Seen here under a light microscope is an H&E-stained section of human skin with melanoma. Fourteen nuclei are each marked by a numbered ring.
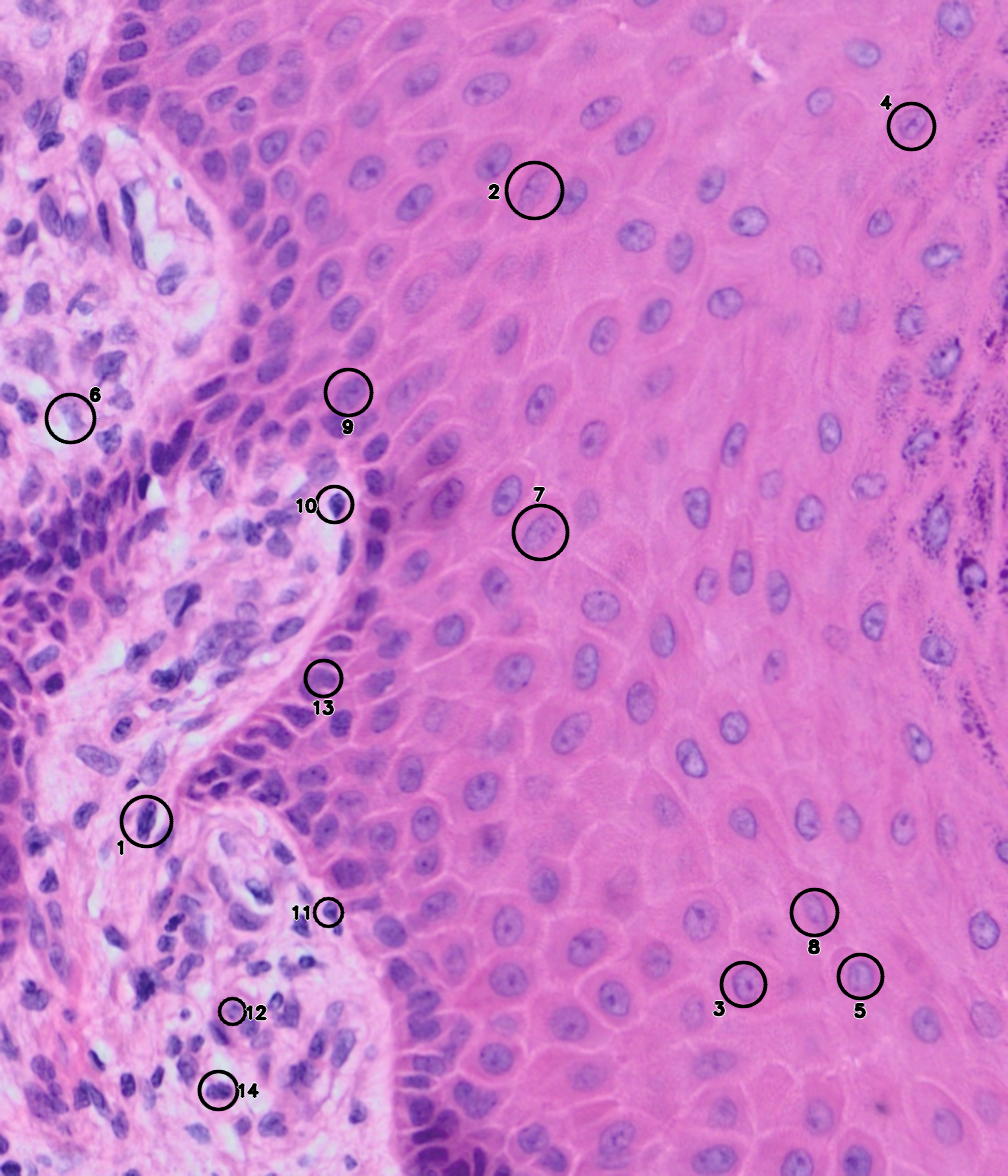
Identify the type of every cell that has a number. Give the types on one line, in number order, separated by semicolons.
lymphocyte; keratinocyte; keratinocyte; keratinocyte; keratinocyte; fibroblast or myofibroblast; keratinocyte; keratinocyte; keratinocyte; lymphocyte; lymphocyte; endothelial cell; keratinocyte; lymphocyte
